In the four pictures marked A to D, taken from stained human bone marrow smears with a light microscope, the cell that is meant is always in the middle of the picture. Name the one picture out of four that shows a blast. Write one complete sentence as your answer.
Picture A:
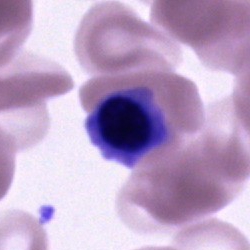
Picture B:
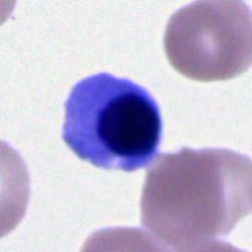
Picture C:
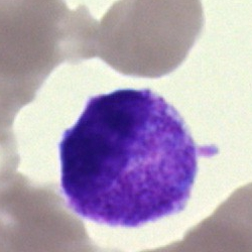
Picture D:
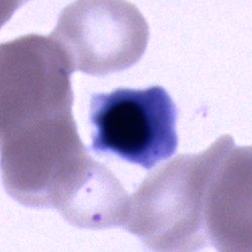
Picture C shows the blast.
